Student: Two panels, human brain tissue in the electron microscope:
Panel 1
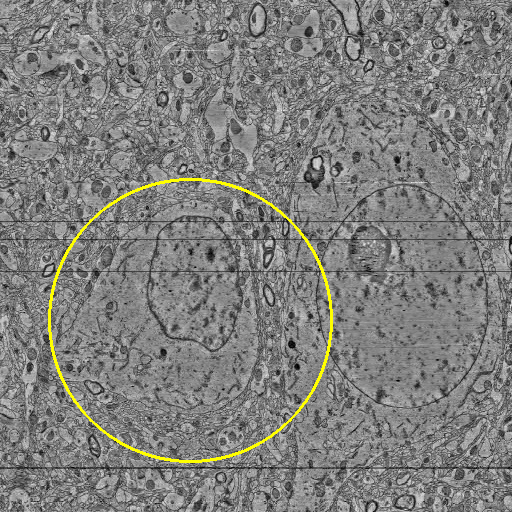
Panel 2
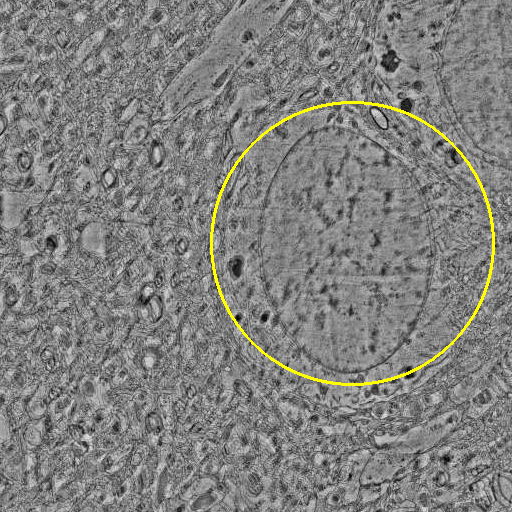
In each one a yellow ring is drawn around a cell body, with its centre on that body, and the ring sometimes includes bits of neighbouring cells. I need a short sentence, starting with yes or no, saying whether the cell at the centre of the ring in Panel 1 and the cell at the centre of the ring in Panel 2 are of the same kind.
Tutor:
Yes, they are the same kind of cell.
